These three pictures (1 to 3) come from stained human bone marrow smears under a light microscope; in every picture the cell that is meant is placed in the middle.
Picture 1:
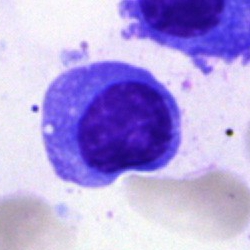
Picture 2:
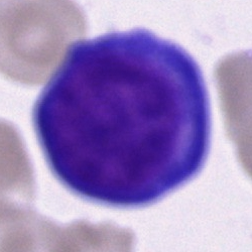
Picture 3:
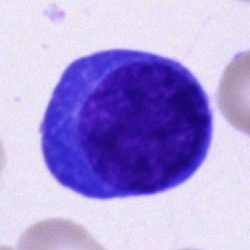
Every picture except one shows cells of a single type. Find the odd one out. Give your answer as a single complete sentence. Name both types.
The different one is picture 2; it shows a proerythroblast, whereas all the others show plasma cells.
